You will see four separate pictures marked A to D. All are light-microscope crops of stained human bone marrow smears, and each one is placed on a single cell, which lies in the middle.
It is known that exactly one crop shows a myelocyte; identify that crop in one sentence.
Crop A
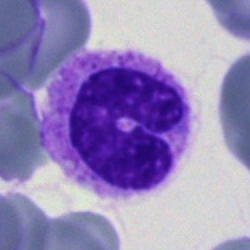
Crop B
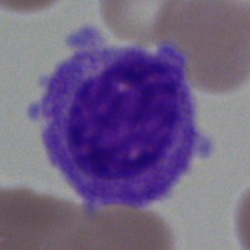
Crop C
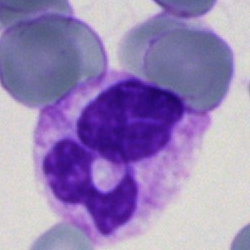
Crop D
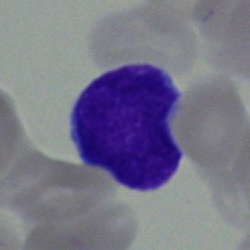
Crop B shows a myelocyte, and no other crop does.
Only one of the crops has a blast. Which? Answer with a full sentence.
Of these crops, it is crop D that shows a blast.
